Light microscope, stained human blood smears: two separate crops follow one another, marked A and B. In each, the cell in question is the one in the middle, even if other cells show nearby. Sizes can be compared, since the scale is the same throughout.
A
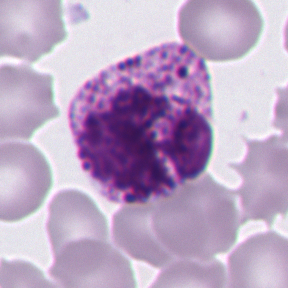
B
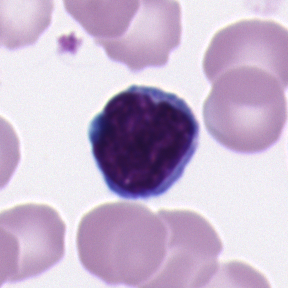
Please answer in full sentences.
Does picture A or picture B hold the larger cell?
It is the cell in picture A, about 2 times as large in area as the cell in picture B.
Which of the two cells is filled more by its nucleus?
The nucleus fills more of the cell in picture B than in picture A.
